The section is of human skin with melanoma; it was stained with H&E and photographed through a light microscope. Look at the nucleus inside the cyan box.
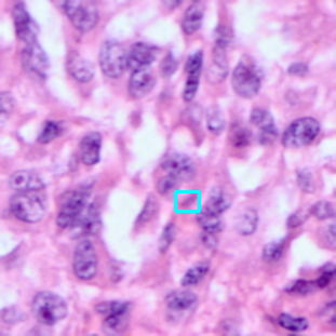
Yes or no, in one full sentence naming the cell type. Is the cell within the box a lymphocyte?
No, it is not a lymphocyte but a melanoma cell that the cell within the box represents.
